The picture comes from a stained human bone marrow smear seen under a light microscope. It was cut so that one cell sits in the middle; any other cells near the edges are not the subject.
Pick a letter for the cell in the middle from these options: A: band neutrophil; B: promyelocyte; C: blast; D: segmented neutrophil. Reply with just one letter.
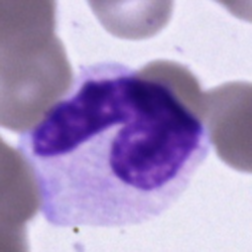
A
